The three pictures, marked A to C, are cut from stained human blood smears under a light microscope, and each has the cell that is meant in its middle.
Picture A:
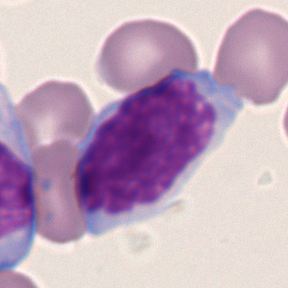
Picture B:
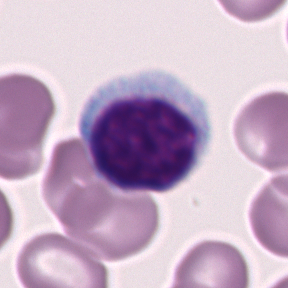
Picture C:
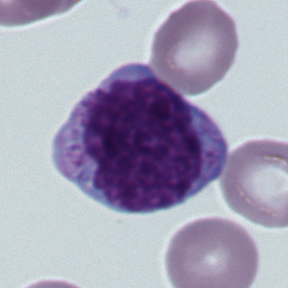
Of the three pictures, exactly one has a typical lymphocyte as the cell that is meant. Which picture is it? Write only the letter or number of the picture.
B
